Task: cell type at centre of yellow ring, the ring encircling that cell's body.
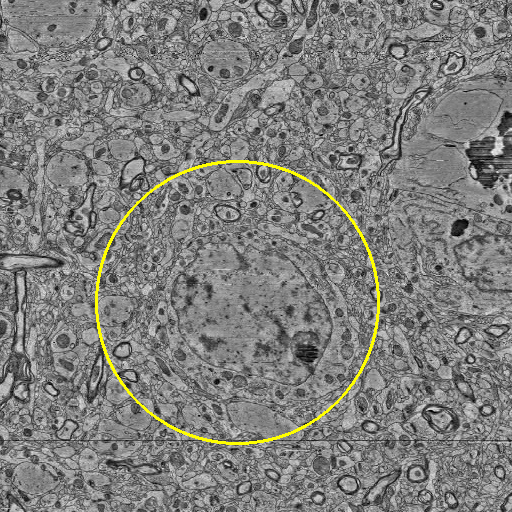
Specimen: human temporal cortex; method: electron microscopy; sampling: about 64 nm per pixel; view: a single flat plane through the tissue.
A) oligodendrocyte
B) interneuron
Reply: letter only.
B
